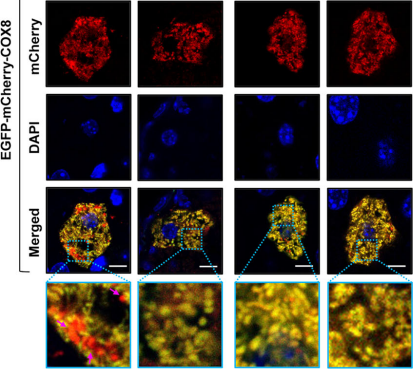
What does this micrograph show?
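Blue nuclei appear at the edges and within the cells. In most cells the red and green overlap almost everywhere, so the merged network looks uniformly yellow. In one cell, distinct red-only puncta and patches stand out against the yellow network, marked by arrows in the enlargement.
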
